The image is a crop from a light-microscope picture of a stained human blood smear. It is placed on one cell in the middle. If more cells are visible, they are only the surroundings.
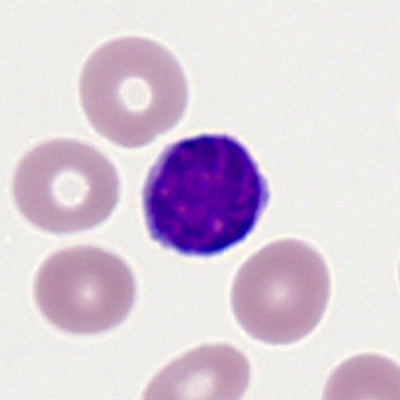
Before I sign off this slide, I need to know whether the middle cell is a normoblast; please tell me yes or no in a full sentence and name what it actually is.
No, the middle of this crop is occupied by a lymphocyte rather than a normoblast.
